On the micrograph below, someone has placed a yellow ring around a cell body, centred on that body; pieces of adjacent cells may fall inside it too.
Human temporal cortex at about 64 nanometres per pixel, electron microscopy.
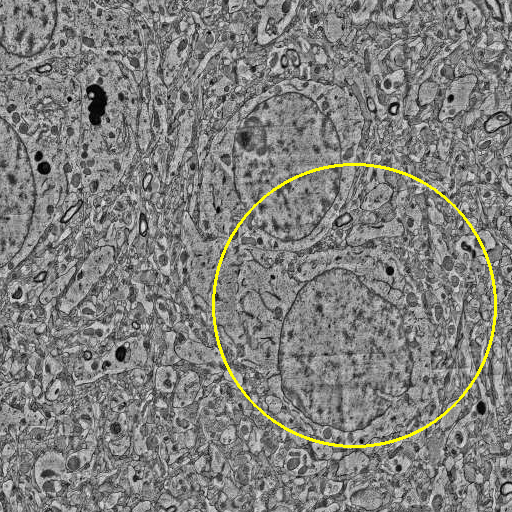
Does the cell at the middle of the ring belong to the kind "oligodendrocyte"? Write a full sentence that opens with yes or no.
No, the micrograph shows another kind of cell at the ring's centre.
